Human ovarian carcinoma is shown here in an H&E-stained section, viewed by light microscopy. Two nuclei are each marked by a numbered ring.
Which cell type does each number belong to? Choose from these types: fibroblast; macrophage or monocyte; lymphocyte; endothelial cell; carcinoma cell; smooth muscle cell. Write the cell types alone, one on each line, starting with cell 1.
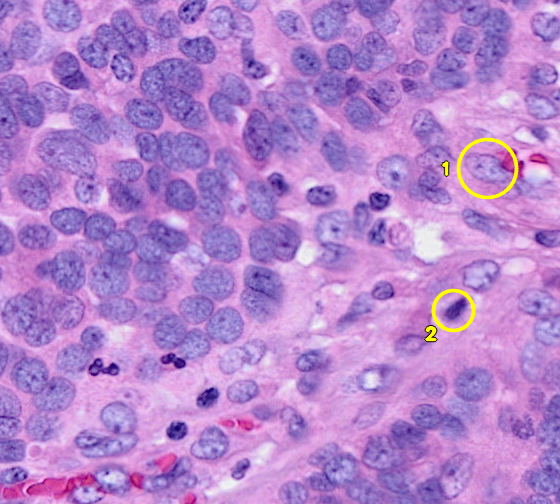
endothelial cell
lymphocyte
